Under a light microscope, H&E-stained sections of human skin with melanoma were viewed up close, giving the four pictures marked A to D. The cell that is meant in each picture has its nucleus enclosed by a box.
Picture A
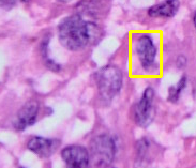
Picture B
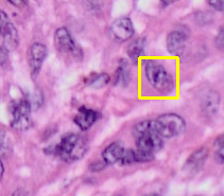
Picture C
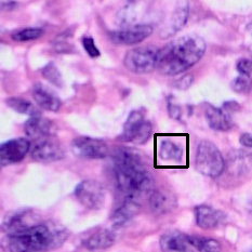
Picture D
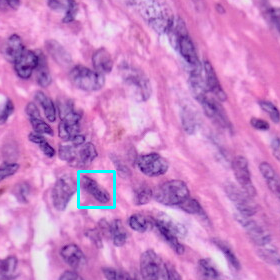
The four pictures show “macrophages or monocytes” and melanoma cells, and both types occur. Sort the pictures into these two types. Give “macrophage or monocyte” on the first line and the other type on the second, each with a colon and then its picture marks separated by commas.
macrophage or monocyte: A, C
melanoma cell: B, D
